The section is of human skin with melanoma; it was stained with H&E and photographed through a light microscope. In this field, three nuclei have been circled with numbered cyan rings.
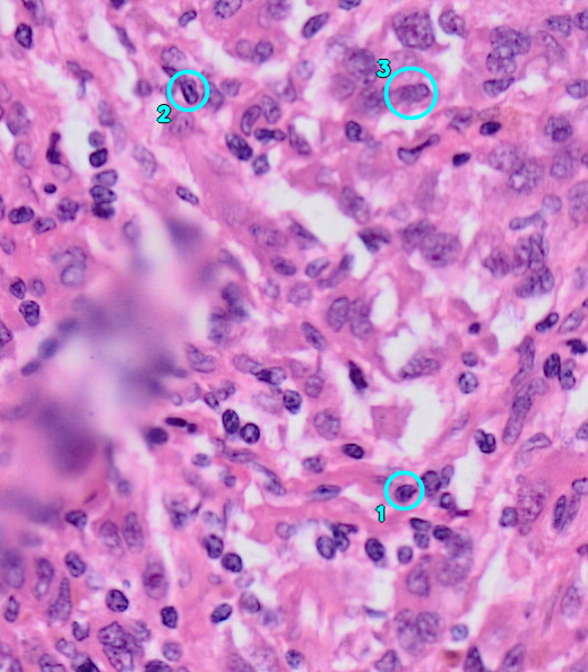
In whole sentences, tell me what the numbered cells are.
Cells 1 and 2 are lymphocytes. Cell 3 is a melanoma cell.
